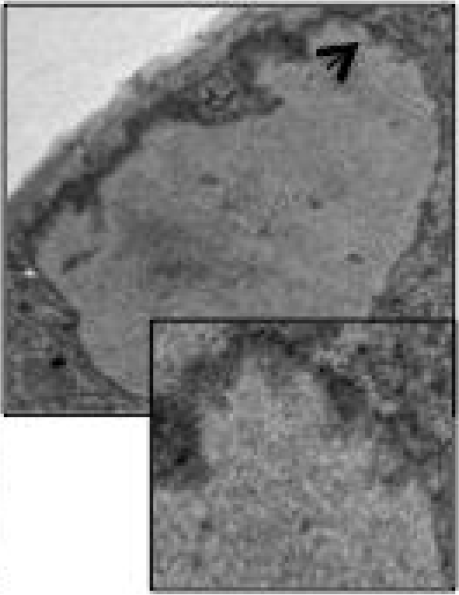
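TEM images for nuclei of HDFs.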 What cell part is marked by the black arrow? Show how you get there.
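A dark, dense band of chromatin lines the inner edge of the nucleus. The arrow points at this dark band just inside the nuclear envelope. The nuclear interior is paler than the rim.
Hence: peripheral heterochromatin.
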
